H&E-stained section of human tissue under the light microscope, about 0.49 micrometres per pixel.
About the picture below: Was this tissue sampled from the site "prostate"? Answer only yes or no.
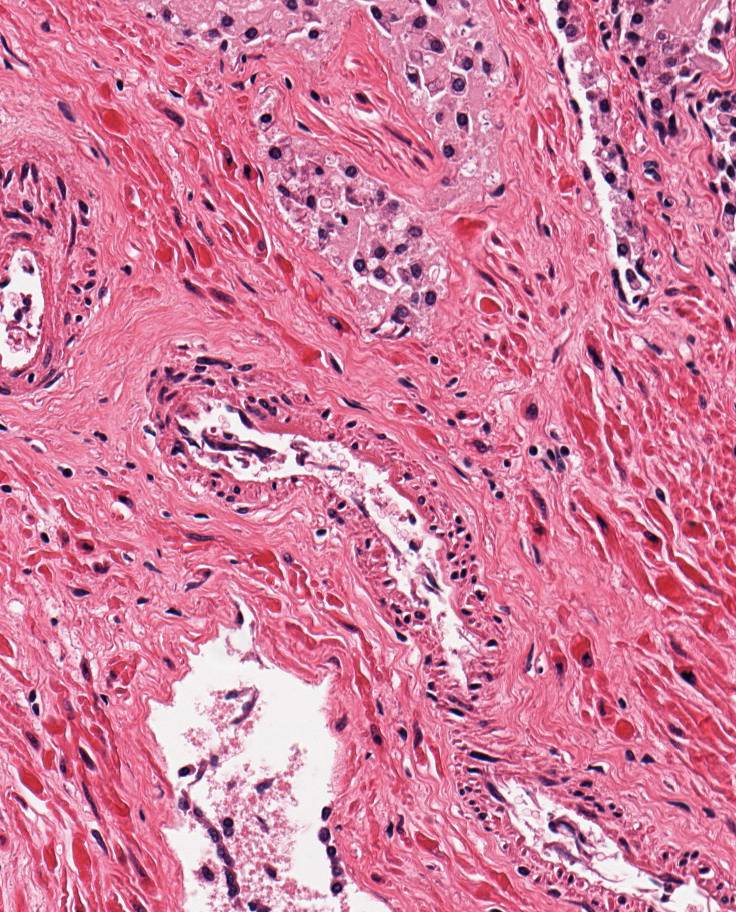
yes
